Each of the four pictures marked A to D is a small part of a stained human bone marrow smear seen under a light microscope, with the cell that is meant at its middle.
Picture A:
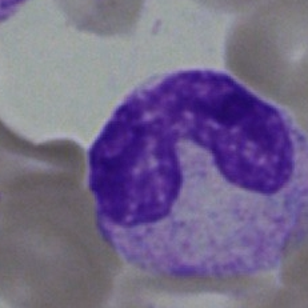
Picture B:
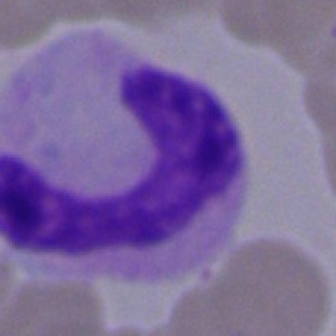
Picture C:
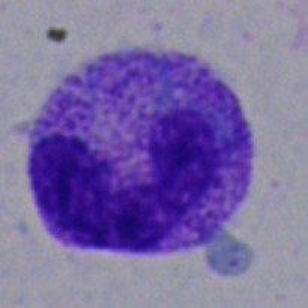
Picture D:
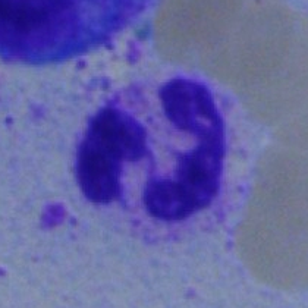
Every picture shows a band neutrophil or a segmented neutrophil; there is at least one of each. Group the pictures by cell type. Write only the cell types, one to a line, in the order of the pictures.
band neutrophil
band neutrophil
band neutrophil
segmented neutrophil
